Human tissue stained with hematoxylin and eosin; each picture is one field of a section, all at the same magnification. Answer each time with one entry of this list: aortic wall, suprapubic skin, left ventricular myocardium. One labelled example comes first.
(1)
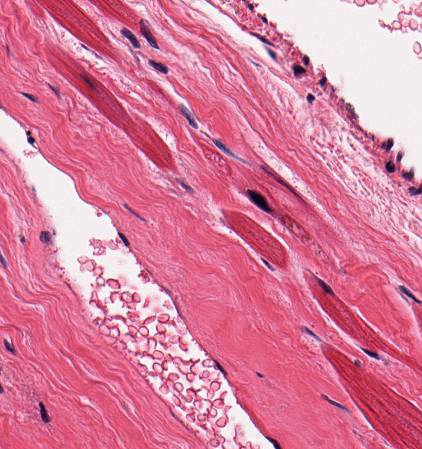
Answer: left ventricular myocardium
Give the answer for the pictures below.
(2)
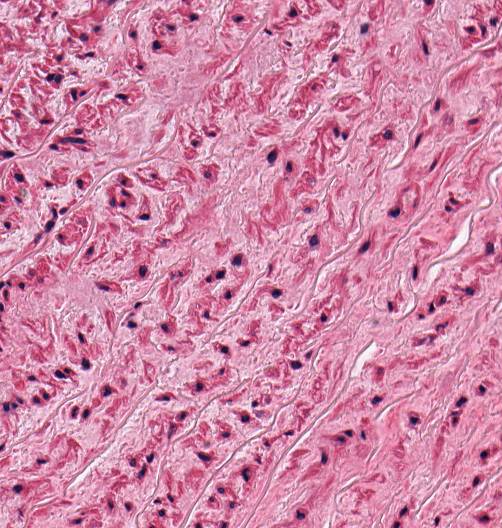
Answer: aortic wall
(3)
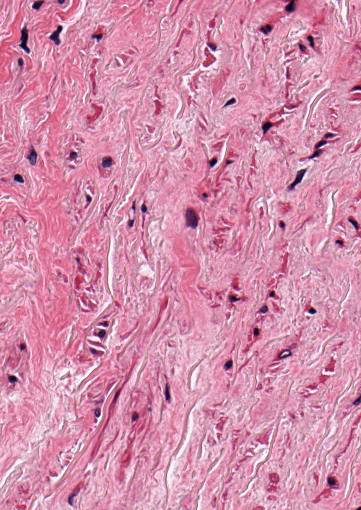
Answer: aortic wall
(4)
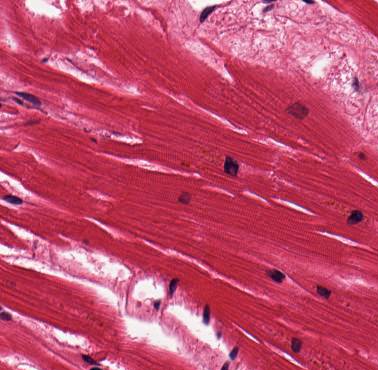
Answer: left ventricular myocardium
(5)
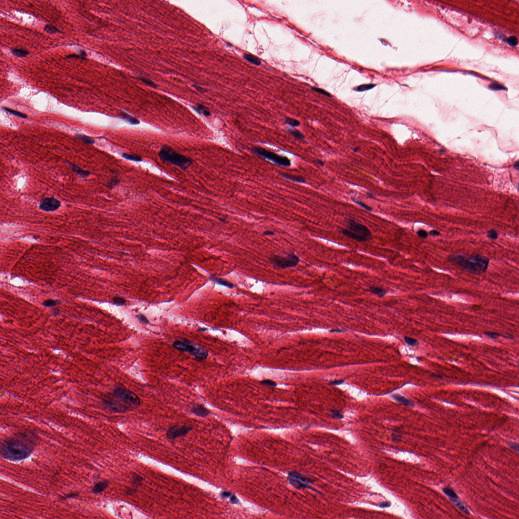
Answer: left ventricular myocardium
